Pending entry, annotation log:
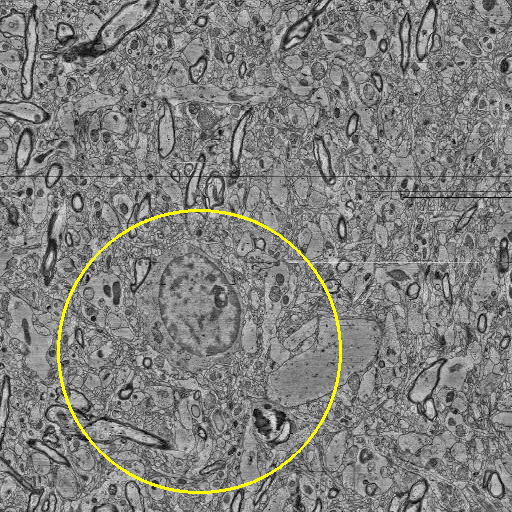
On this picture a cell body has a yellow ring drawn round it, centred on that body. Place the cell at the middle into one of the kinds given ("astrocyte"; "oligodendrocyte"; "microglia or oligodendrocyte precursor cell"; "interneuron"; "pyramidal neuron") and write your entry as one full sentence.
The cell body at the middle of the yellow ring belongs to an oligodendrocyte.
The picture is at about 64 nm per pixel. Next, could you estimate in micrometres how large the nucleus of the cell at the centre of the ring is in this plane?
In this plane, about 7 micrometres in length and 5 in width.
